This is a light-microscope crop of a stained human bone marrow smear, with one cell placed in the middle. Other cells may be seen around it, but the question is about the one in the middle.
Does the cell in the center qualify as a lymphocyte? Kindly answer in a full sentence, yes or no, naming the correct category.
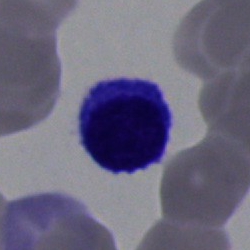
Yes, the cell found in the middle is a lymphocyte.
